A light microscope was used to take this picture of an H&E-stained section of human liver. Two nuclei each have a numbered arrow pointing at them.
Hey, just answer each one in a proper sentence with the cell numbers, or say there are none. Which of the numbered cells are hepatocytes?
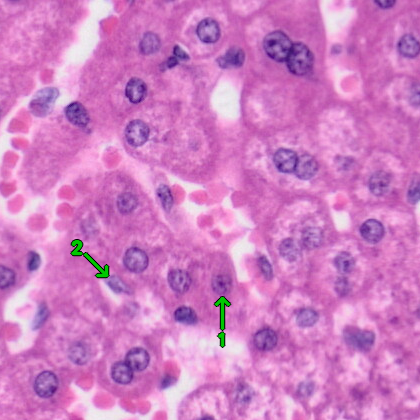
Only number 1 is a hepatocyte; none of the others are.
